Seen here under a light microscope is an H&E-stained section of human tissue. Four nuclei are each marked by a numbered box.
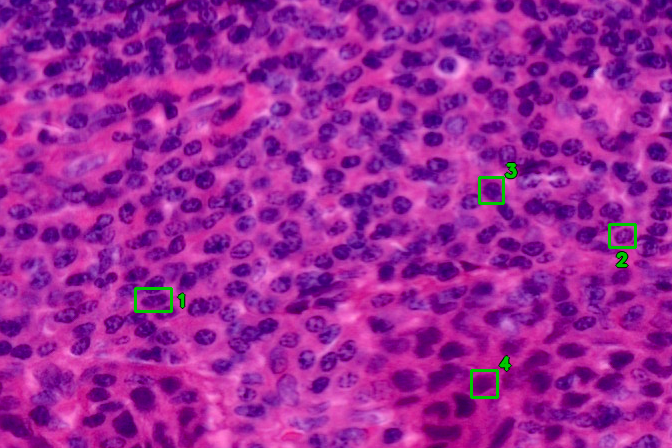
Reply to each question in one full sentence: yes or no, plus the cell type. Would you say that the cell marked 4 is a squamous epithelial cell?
Yes, number 4 in this section denotes a squamous epithelial cell.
